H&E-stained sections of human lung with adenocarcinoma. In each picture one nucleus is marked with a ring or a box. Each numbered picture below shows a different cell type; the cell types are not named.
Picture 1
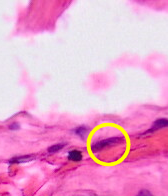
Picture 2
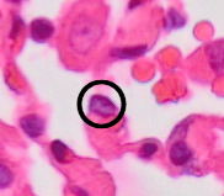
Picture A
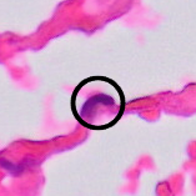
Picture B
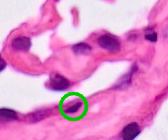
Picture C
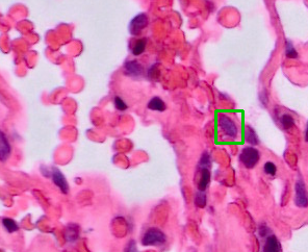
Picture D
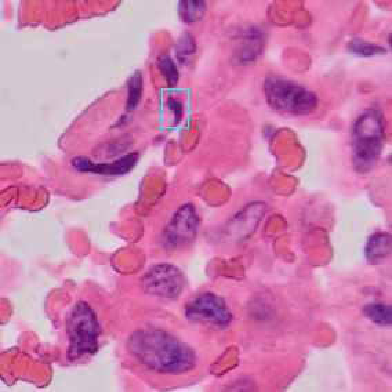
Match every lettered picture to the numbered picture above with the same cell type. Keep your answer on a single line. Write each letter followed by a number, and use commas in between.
A 2, B 1, C 2, D 1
